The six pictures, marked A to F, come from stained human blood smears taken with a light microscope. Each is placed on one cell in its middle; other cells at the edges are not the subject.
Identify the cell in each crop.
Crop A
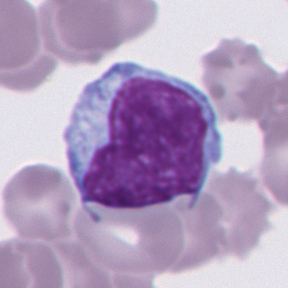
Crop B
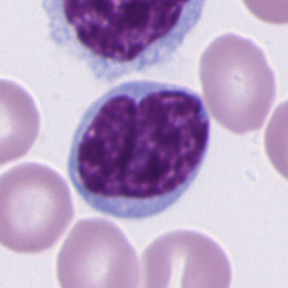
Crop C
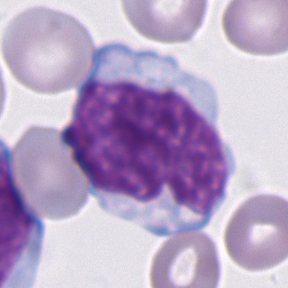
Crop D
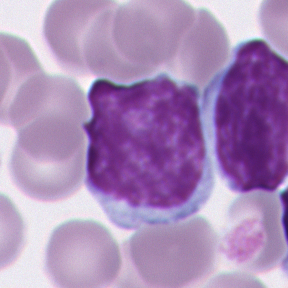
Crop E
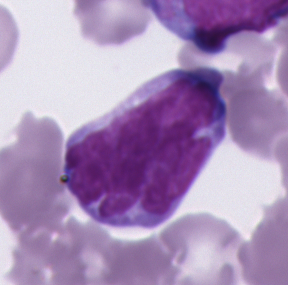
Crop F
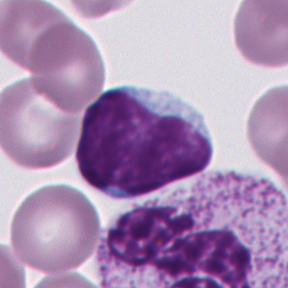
A: typical lymphocyte
B: typical lymphocyte
C: myeloblast
D: typical lymphocyte
E: myeloblast
F: typical lymphocyte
